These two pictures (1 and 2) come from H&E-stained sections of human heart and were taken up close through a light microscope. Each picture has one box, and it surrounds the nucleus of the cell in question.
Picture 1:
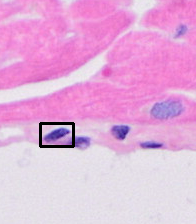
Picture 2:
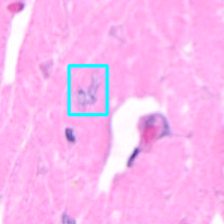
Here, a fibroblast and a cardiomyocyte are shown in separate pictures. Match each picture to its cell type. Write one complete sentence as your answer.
Picture 1 is of a fibroblast, and picture 2 is of a cardiomyocyte.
